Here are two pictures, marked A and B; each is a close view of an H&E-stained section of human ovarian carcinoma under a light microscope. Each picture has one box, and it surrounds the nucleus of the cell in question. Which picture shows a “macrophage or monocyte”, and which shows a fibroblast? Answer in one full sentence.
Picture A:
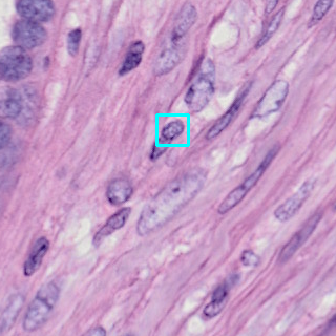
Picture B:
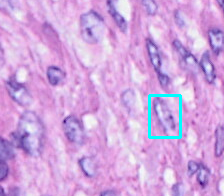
Picture A is of a “macrophage or monocyte”, and picture B is of a fibroblast.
